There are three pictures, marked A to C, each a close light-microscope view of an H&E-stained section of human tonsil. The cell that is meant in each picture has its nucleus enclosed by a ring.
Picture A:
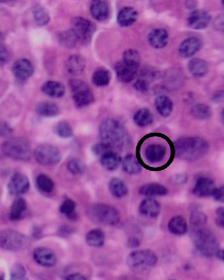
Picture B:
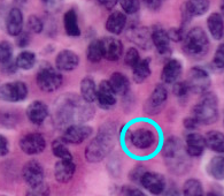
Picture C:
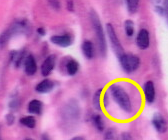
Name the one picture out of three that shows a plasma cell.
A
